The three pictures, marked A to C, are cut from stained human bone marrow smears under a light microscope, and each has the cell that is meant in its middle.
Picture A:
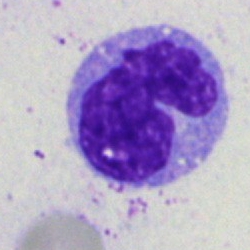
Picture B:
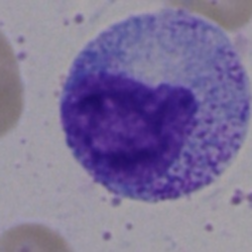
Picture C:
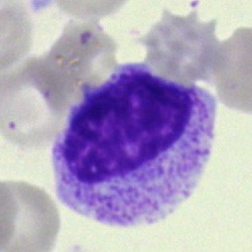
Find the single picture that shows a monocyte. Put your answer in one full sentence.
The monocyte is the one in picture A.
